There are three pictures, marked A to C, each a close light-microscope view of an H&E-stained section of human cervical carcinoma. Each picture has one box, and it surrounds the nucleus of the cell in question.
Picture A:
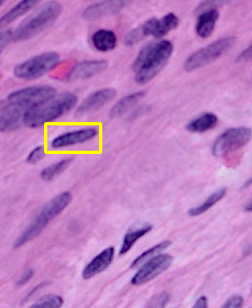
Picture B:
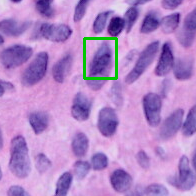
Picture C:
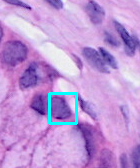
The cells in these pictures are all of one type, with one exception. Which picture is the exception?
C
